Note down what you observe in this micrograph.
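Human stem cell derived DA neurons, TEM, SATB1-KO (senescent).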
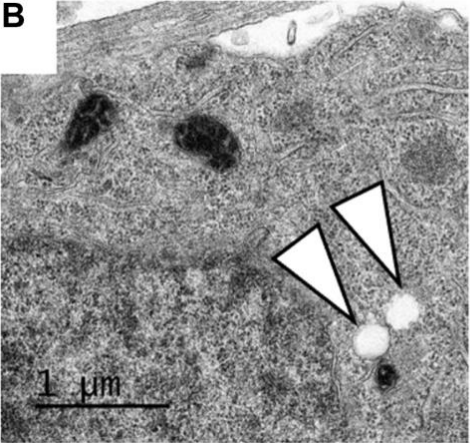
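The cytoplasm contains dark mitochondria and membrane profiles in a finely granular matrix. Close to the nuclear border, two small round, pale, electron-lucent droplets sit next to a small dark body. The nucleus has finely granular chromatin.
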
